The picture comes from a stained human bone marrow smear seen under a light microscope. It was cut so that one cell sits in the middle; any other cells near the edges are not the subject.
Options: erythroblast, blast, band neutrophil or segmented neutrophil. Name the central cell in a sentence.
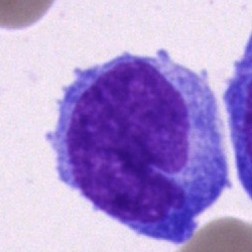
Where the crop is centred, there is a blast.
